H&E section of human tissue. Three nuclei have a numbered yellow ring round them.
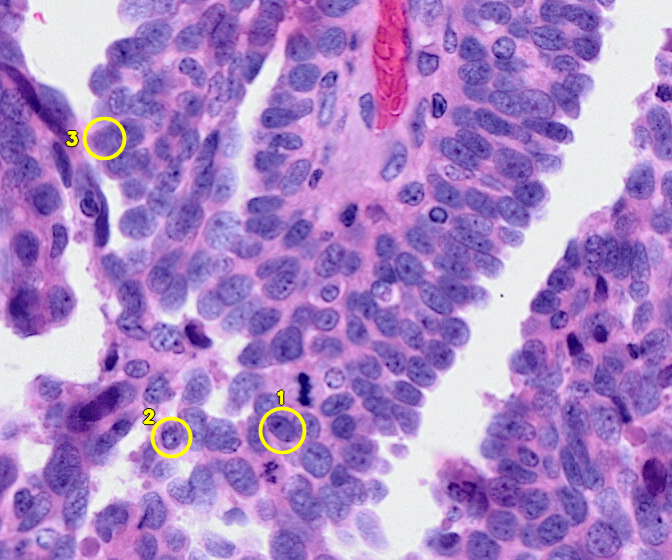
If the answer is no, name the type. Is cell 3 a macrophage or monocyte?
No, it is a carcinoma cell.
